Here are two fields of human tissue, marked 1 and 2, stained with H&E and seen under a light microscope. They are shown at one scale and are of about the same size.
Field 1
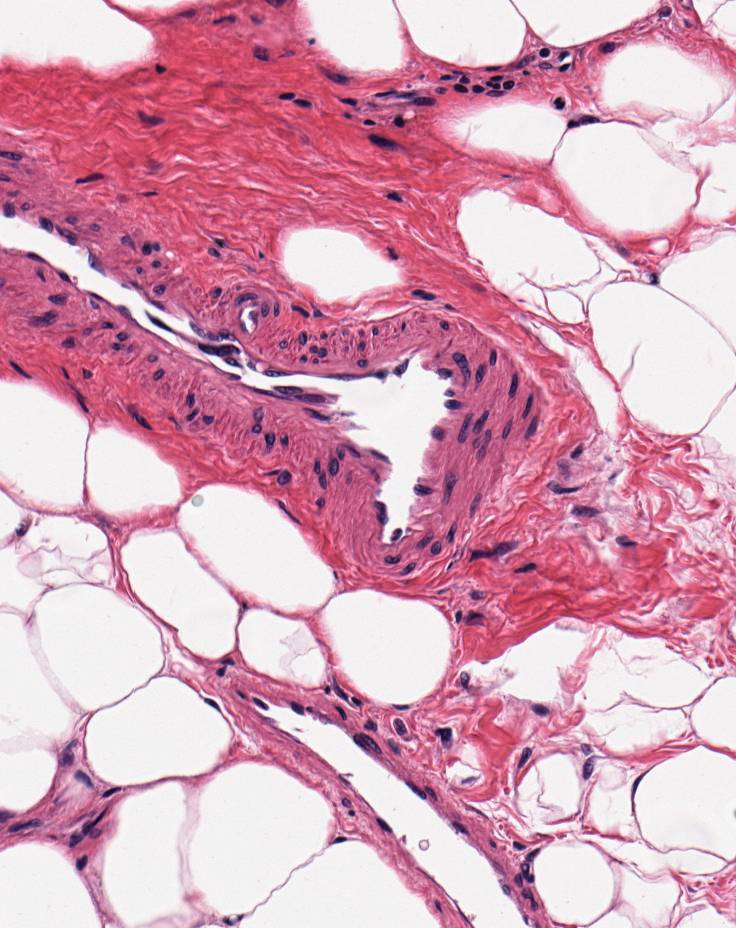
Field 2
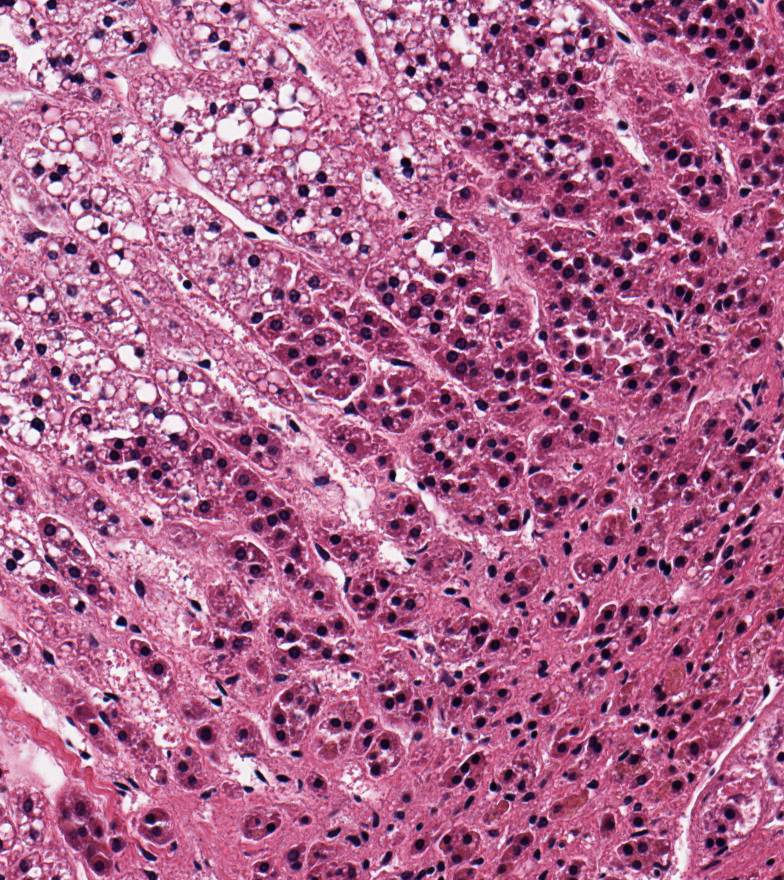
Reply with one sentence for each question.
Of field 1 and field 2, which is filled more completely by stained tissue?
Field 2 has less white space.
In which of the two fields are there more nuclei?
It is field 2 that has more nuclei in it.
